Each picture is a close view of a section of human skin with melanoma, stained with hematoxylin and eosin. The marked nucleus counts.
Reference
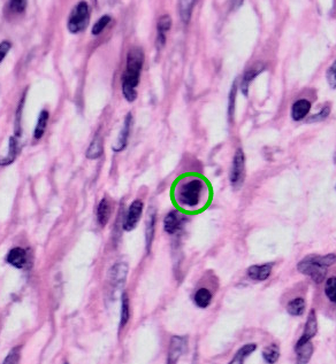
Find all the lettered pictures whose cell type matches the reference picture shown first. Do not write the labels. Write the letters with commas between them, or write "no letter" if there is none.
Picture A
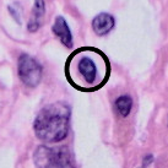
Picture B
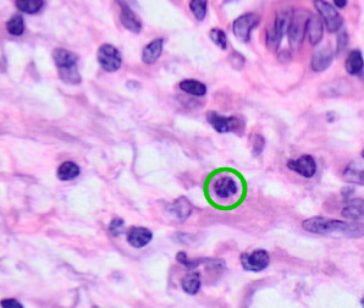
B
